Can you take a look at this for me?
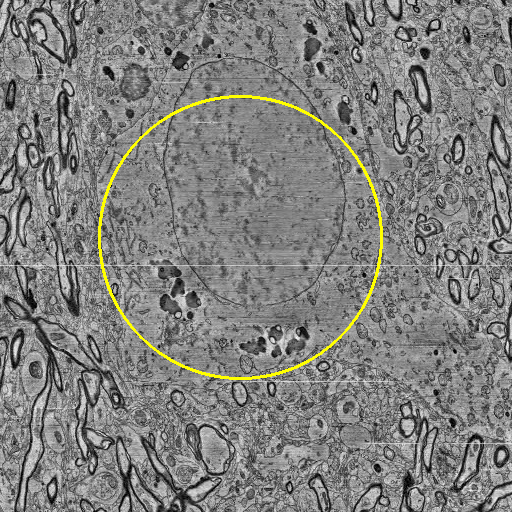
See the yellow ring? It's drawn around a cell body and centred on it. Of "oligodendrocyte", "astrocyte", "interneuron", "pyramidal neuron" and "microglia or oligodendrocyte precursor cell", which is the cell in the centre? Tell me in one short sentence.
The one in the centre is a pyramidal neuron.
